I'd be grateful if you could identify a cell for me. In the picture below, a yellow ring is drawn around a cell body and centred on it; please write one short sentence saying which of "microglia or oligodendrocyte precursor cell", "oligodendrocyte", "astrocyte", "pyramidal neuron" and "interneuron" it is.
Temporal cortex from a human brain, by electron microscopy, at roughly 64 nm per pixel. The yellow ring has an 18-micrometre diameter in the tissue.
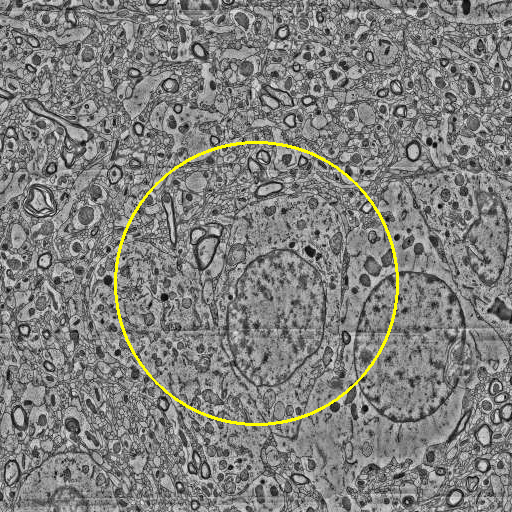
The cell under the ring's centre is a pyramidal neuron.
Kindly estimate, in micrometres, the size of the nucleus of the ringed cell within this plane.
The ringed cell's nucleus is about 9 micrometres long and 6 micrometres wide in this plane.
